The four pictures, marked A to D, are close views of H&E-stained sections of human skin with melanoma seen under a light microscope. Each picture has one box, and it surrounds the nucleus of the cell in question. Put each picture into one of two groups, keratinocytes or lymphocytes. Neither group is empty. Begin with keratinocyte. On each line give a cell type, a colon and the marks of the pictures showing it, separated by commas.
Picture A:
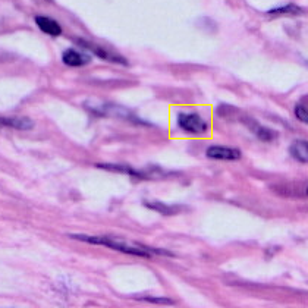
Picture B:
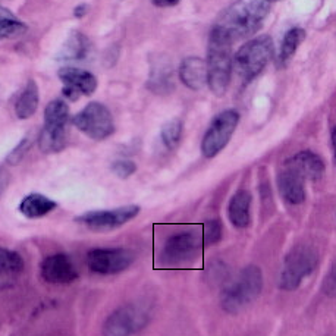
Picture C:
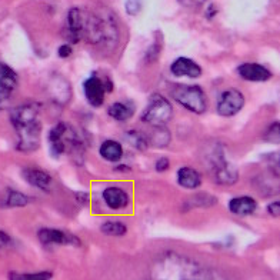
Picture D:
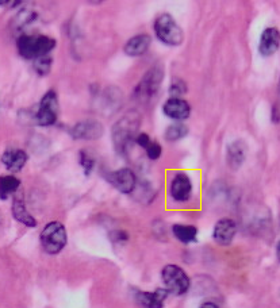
keratinocyte: B
lymphocyte: A, C, D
